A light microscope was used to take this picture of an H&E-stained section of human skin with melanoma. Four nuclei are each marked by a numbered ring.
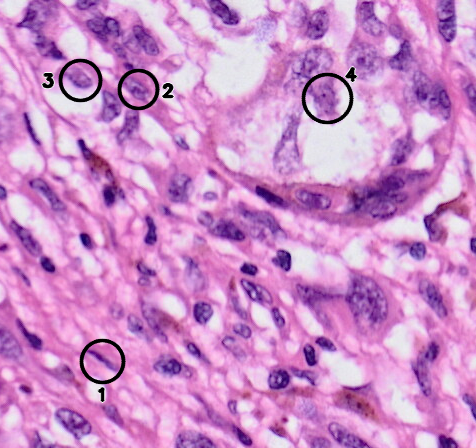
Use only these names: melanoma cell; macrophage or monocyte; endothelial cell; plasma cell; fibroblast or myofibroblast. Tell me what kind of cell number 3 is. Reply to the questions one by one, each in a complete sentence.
The cell indicated by marker 3 is a melanoma cell in this section.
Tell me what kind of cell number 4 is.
Marked with the number 4, this cell is a melanoma cell.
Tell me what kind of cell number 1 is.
The cell that goes by number 1 is a fibroblast or myofibroblast.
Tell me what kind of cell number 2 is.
The mark numbered 2 indicates the nucleus of a melanoma cell.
